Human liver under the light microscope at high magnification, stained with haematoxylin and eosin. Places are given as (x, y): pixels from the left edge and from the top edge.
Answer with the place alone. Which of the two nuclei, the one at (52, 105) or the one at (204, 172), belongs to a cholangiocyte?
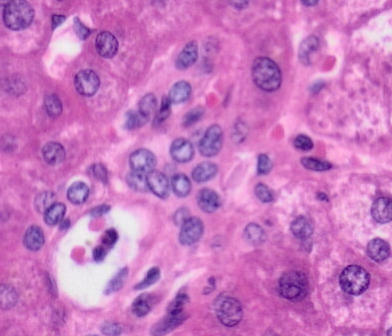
(204, 172)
